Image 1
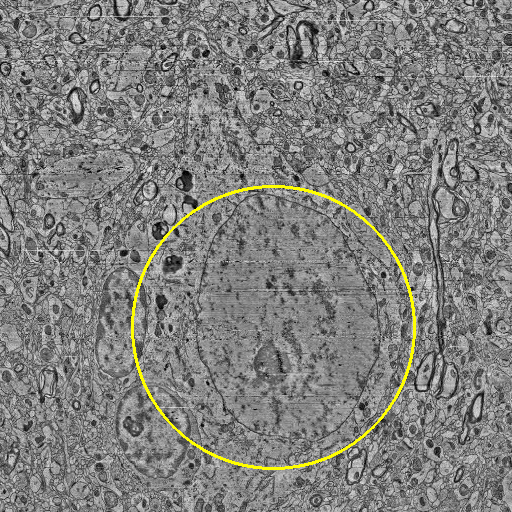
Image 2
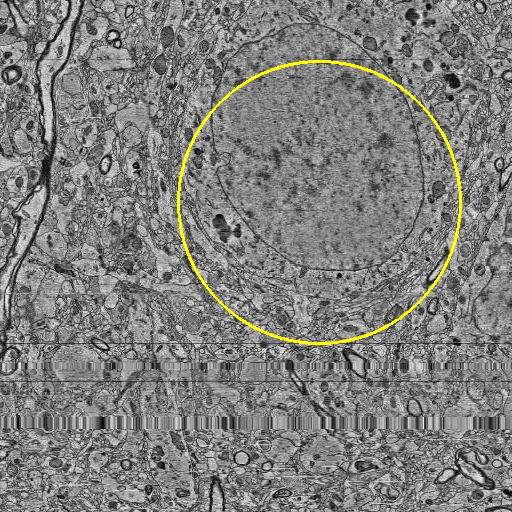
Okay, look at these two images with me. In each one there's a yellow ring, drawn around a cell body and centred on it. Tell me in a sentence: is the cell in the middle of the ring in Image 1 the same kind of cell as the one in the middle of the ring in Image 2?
Yes, they're the same kind of cell.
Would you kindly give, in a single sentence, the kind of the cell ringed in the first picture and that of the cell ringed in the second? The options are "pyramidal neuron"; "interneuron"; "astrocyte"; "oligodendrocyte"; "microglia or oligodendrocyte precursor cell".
Both rings mark a pyramidal neuron, one in each picture.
